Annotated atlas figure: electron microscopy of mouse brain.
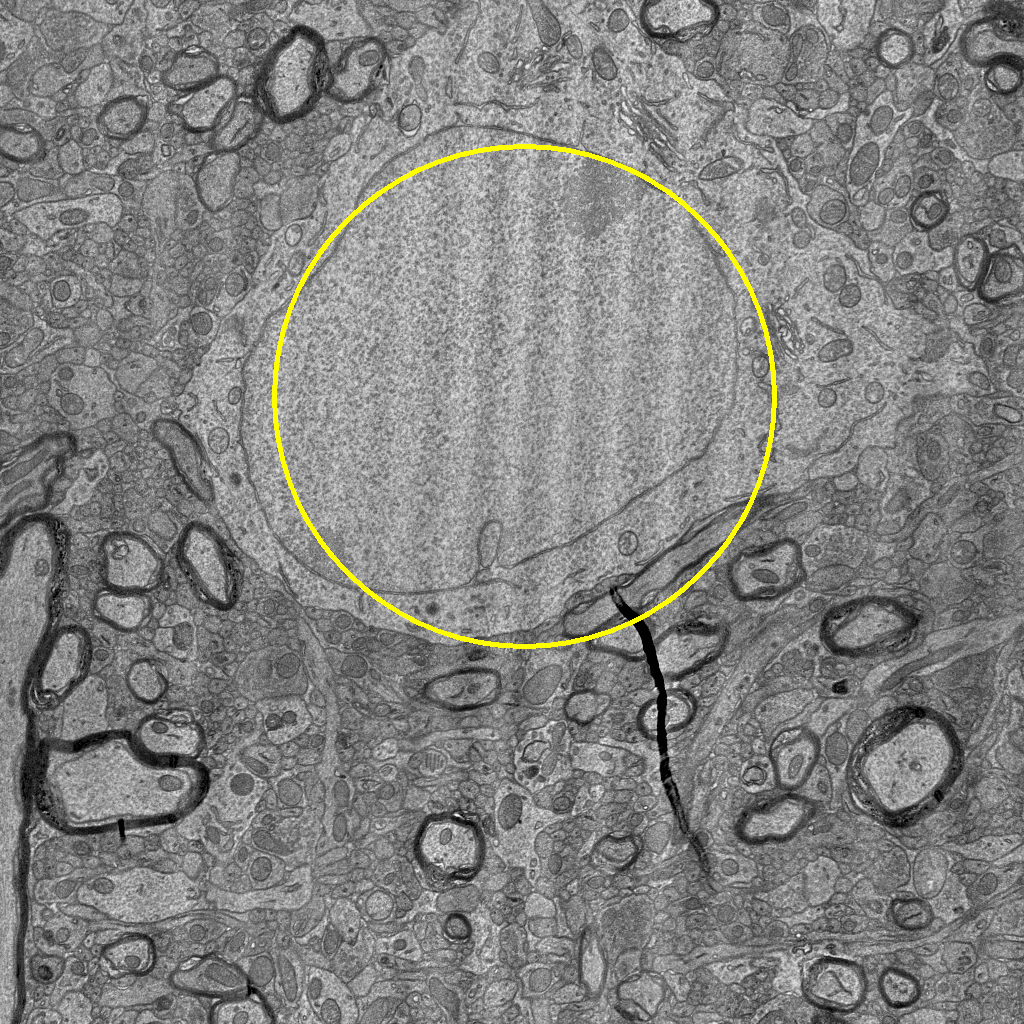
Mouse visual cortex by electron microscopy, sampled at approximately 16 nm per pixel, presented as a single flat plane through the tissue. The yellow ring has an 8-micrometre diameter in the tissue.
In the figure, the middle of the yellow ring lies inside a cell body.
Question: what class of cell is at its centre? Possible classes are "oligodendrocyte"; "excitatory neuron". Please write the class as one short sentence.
The yellow ring's centre lies in an excitatory neuron.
